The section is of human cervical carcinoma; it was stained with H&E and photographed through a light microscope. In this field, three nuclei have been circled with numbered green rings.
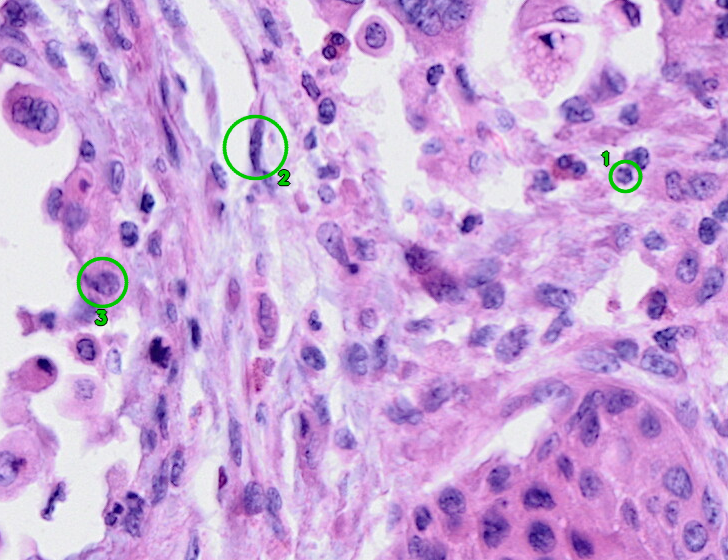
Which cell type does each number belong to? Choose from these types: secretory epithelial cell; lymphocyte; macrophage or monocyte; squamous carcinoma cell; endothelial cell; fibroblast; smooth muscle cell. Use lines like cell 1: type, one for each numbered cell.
cell 1: lymphocyte
cell 2: fibroblast
cell 3: macrophage or monocyte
